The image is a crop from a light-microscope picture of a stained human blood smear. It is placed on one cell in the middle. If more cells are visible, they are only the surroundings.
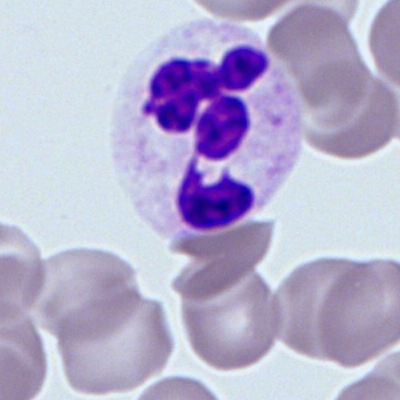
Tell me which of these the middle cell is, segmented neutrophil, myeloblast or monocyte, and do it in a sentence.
In the center of this field lies a segmented neutrophil.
